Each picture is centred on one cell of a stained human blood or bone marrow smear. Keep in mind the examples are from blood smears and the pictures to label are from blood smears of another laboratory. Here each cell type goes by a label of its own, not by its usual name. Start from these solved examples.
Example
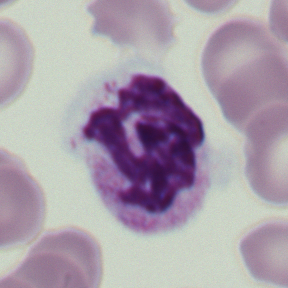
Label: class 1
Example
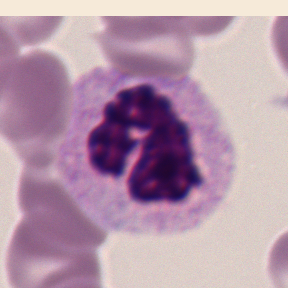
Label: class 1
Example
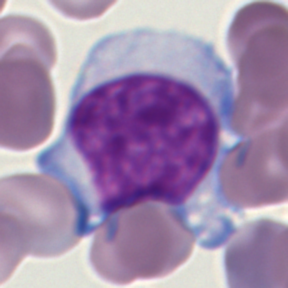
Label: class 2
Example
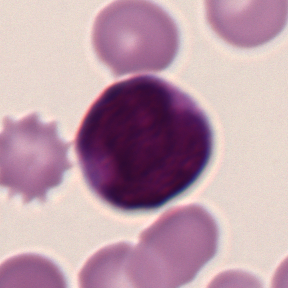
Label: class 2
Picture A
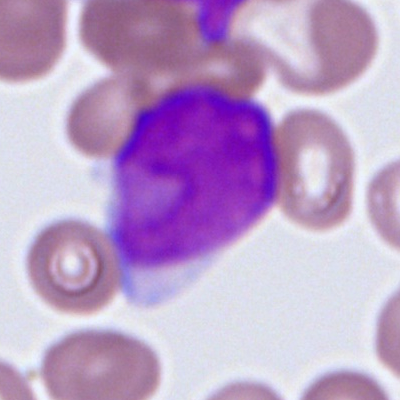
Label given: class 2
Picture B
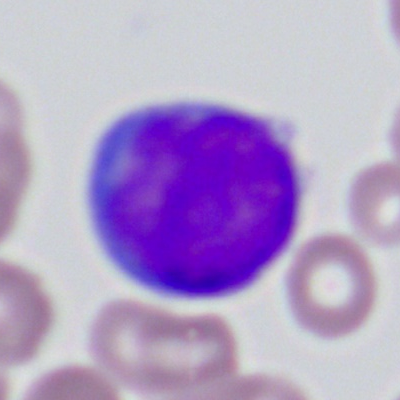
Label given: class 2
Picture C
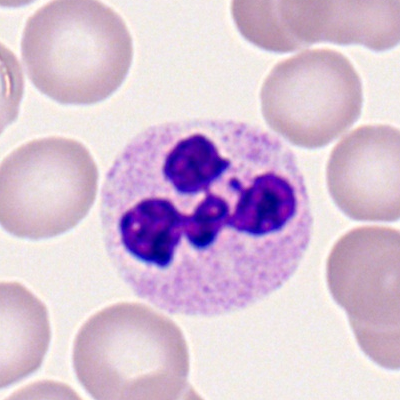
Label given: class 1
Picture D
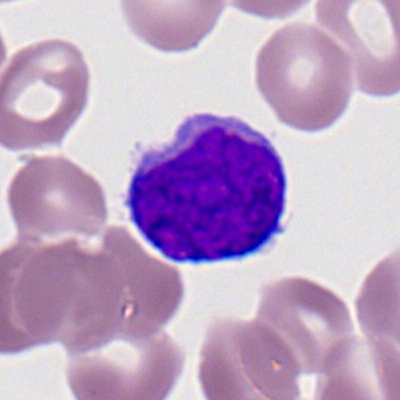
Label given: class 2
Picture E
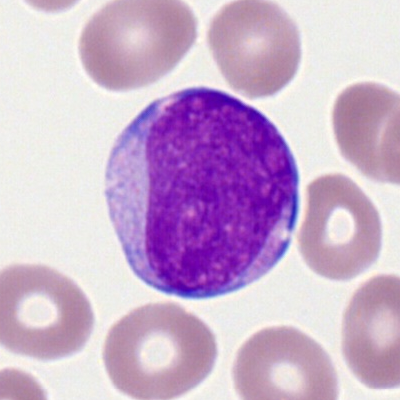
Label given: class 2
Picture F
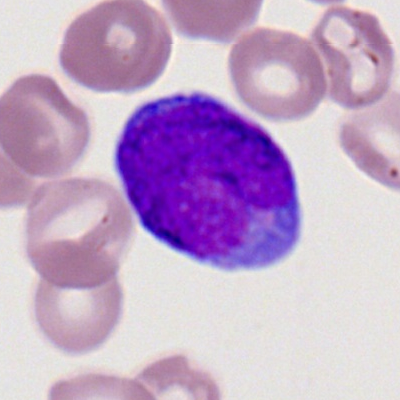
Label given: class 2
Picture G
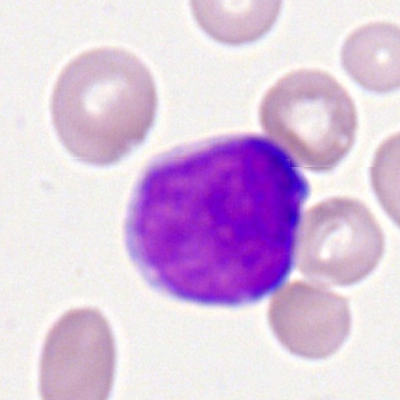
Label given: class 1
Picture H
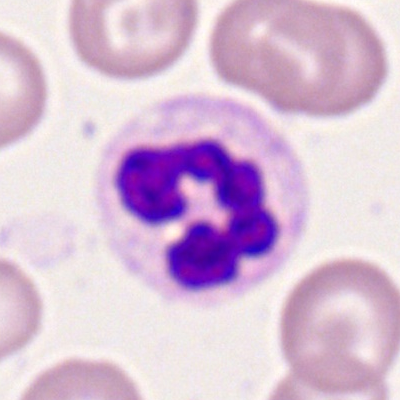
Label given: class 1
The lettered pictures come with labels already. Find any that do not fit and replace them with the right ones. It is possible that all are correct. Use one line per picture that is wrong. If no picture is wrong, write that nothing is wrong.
G is labelled class 1; correct label: class 2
